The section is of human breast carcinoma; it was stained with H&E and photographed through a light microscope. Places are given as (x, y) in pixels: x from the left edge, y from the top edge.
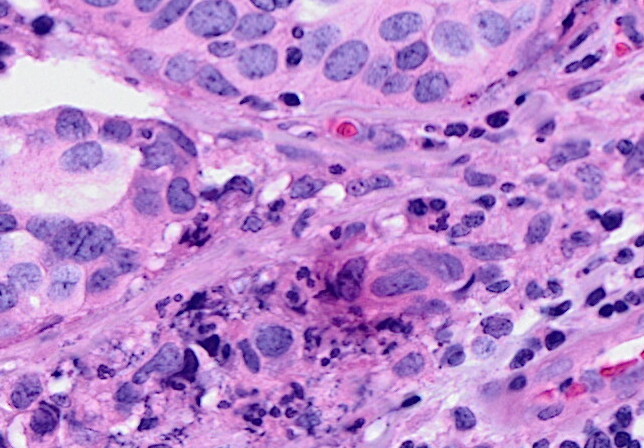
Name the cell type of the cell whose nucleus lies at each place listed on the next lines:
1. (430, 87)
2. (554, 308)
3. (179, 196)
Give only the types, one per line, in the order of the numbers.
carcinoma cell
lymphocyte
carcinoma cell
